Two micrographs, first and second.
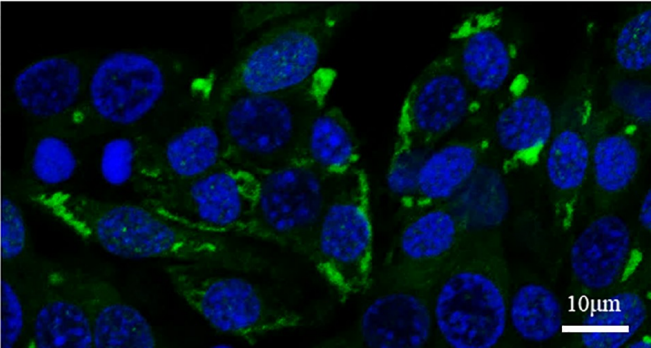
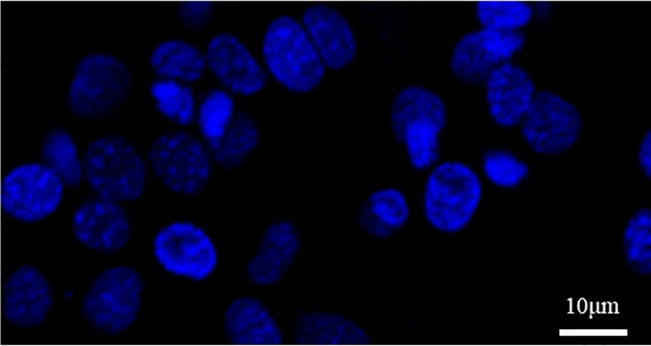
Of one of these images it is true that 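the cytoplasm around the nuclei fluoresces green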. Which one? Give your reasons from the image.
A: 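First image: green fluorescence fills the cell bodies around the blue nuclei, with bright patches beside them. Second image: only blue nuclei on a black background, no green anywhere.
Answer: the first image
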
